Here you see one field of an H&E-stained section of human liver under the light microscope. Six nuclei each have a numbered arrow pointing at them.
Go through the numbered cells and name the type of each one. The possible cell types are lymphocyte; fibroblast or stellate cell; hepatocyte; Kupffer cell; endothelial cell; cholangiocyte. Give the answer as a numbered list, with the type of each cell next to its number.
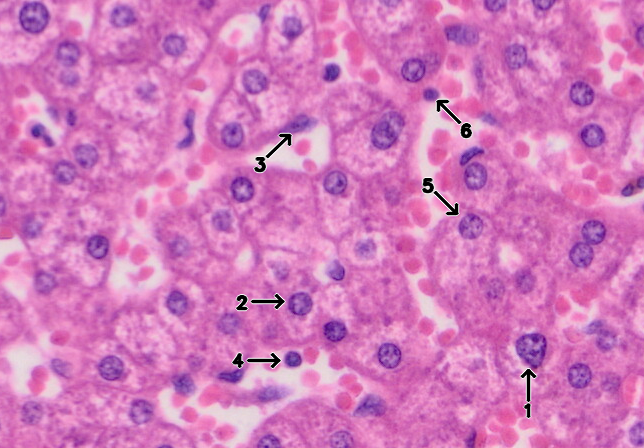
1. hepatocyte
2. hepatocyte
3. Kupffer cell
4. lymphocyte
5. hepatocyte
6. lymphocyte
